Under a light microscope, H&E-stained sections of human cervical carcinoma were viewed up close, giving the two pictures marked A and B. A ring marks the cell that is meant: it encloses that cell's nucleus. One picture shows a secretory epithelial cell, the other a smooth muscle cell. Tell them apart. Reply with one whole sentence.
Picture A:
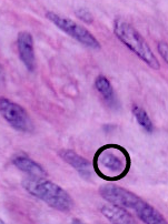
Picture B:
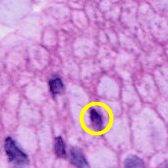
The cell in picture A is a smooth muscle cell, and the one in picture B is a secretory epithelial cell.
